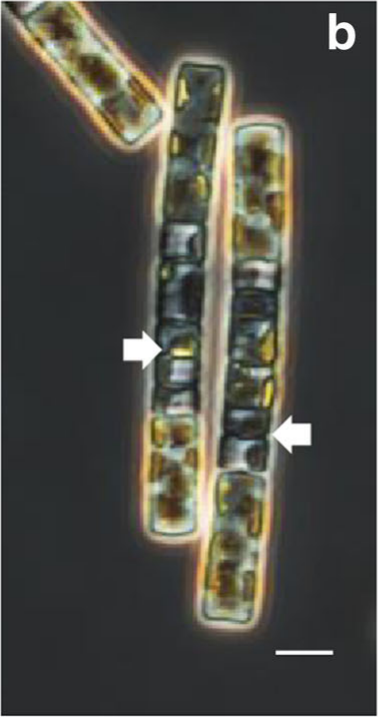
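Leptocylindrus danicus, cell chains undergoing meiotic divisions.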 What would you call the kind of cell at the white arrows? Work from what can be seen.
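The arrows point to small divided compartments within the cylindrical chains. These compartments lie in groups along the chain, unlike the brown cells at the ends.
Answer: spermatogonia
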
